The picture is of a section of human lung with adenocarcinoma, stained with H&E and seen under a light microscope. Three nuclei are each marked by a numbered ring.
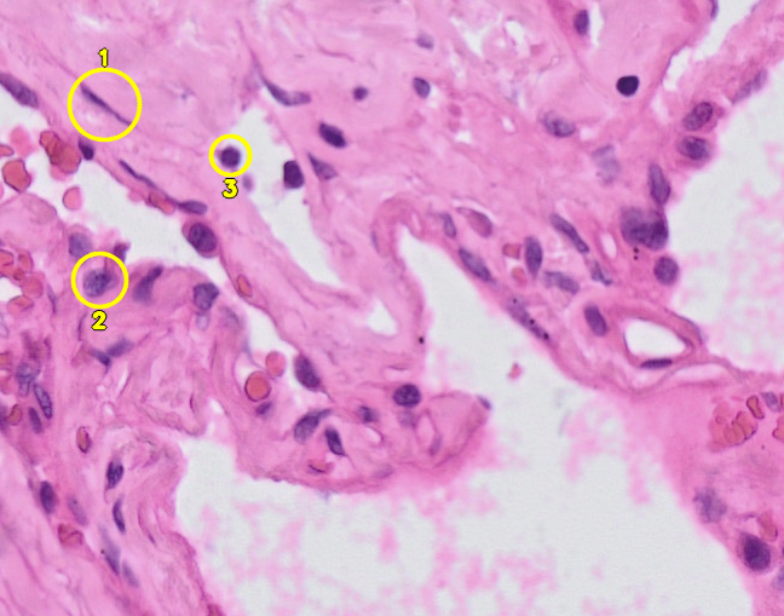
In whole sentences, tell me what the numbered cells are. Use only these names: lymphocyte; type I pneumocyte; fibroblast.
Cell 1 is a fibroblast. Cell 2 is a type I pneumocyte. Cell 3 is a lymphocyte.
